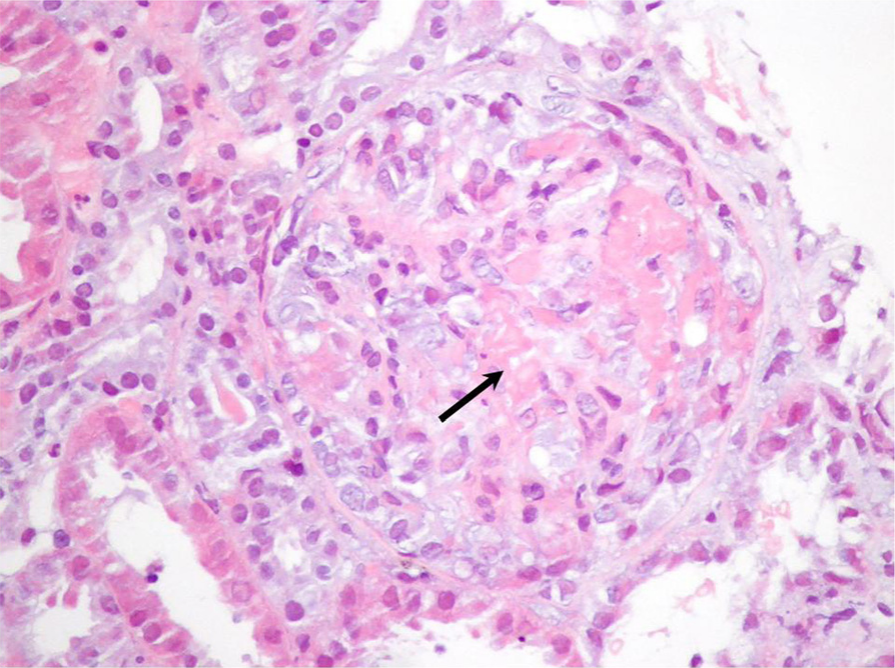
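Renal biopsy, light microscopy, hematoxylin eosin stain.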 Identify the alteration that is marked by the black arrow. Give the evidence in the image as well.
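The arrow points to bright pink, smudgy, structureless material inside the round central structure. The pink material replaces the normal outlines of the capillary loops in that area.
Hence: Fibrinoid necrosis.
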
